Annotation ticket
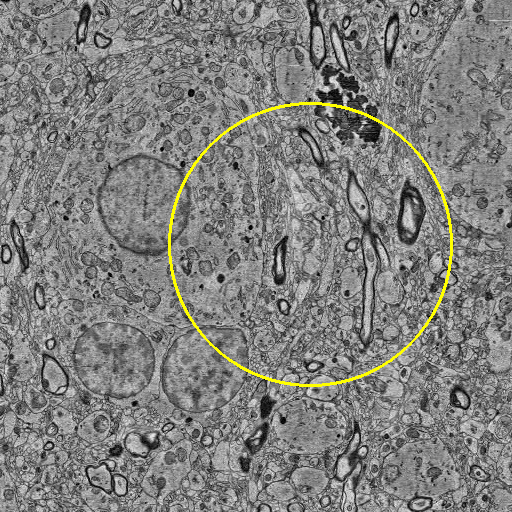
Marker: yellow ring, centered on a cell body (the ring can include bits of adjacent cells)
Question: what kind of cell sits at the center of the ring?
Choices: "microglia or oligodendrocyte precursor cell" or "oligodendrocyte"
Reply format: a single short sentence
The ring is centered on a microglial cell or oligodendrocyte precursor cell.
